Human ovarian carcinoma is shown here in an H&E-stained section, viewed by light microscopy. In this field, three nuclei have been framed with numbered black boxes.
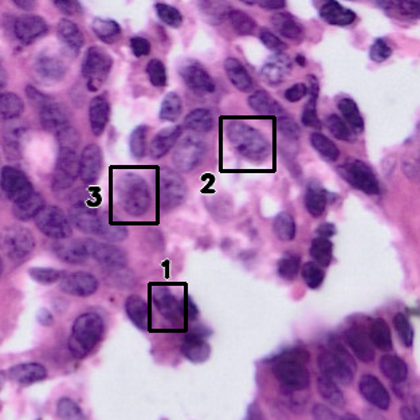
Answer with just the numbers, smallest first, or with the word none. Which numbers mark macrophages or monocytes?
2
